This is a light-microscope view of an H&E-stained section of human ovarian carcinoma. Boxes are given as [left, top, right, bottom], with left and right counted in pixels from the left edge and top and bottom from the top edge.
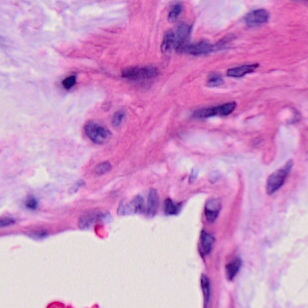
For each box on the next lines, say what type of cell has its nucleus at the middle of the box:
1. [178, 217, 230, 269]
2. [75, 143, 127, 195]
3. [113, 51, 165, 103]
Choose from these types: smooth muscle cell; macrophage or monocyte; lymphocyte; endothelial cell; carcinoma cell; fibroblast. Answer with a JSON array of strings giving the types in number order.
["endothelial cell", "smooth muscle cell", "smooth muscle cell"]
